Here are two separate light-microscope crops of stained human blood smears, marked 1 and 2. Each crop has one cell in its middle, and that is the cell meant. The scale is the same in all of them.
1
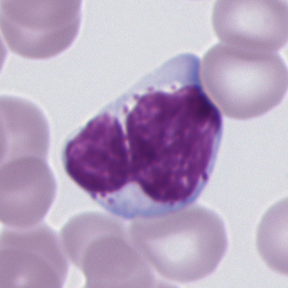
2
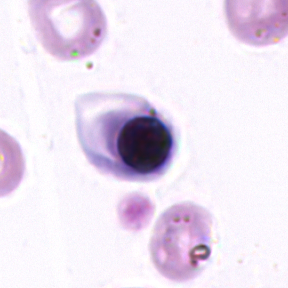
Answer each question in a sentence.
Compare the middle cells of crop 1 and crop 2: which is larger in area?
Crop 1 holds the larger cell; it covers about 3 times the area of the cell in crop 2.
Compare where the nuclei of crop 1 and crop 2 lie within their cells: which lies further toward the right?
The nucleus in crop 2 lies further toward the right of its cell.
